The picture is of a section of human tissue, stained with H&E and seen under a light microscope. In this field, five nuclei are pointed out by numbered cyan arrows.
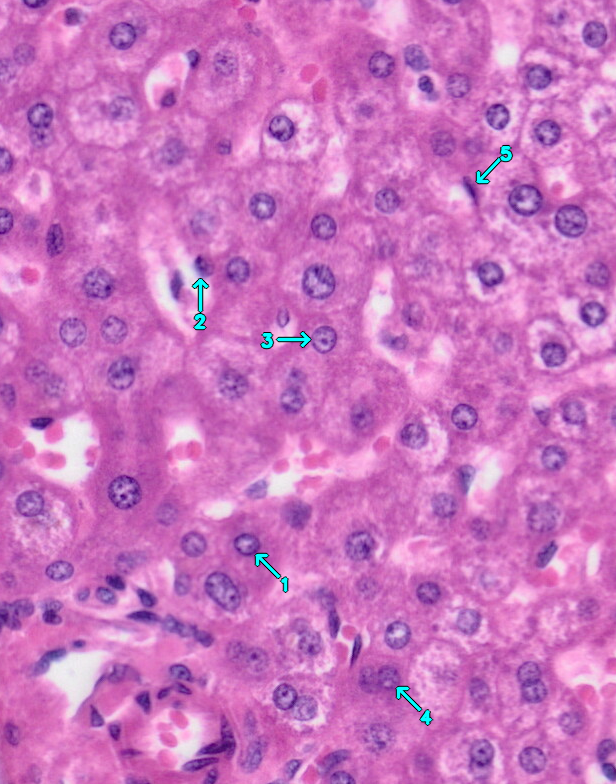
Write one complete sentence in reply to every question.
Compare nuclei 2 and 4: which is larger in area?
Of the two, number 4 is bigger and takes up about 1.5 times the area of number 2.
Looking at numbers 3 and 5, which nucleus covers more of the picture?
It is nucleus 3, which covers about 2 times the area of nucleus 5.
